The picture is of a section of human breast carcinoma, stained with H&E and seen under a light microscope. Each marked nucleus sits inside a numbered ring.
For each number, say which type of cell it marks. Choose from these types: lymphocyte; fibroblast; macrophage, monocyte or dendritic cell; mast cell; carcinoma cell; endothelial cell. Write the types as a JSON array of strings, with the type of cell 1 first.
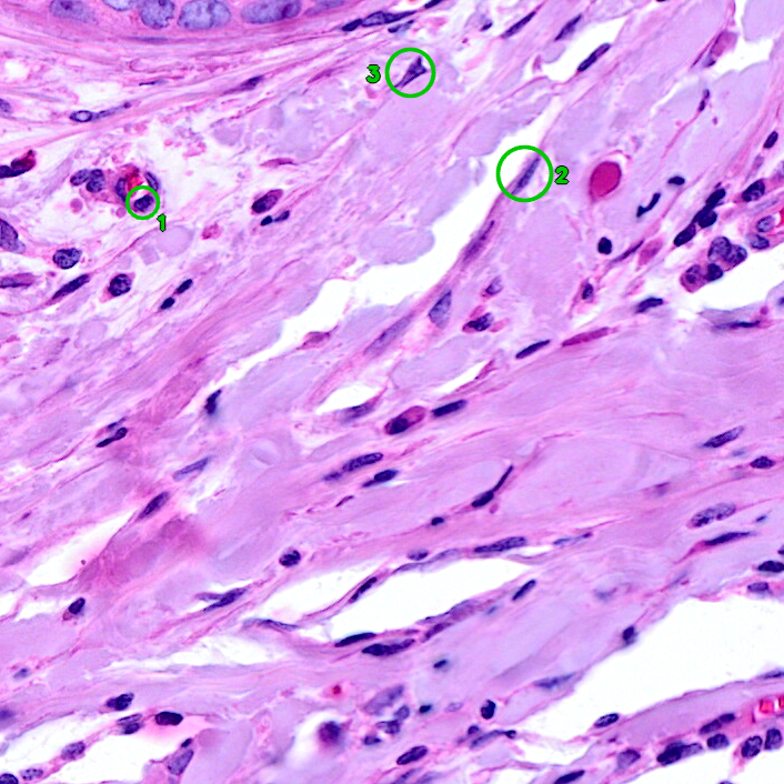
["endothelial cell", "fibroblast", "fibroblast"]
